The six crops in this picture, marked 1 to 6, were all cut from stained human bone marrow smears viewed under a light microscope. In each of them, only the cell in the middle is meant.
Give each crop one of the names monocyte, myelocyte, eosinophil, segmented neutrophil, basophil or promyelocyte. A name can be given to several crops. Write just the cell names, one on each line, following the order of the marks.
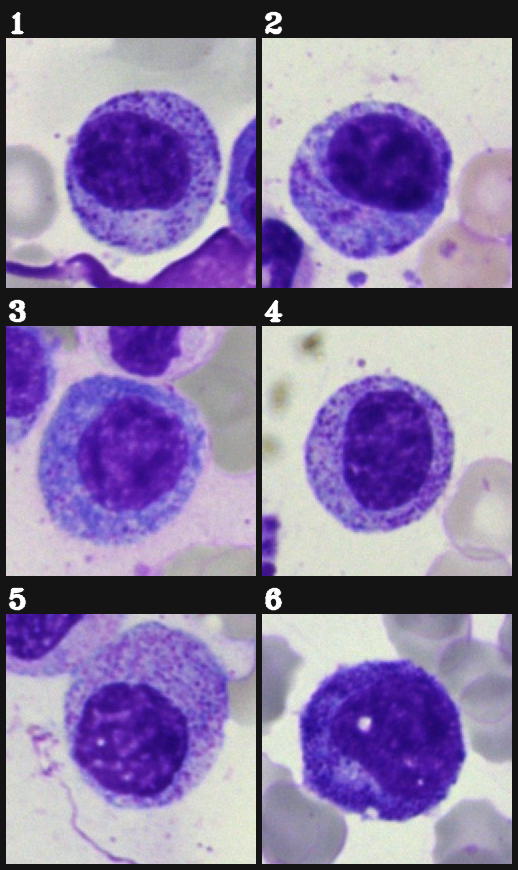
myelocyte
myelocyte
promyelocyte
myelocyte
myelocyte
promyelocyte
